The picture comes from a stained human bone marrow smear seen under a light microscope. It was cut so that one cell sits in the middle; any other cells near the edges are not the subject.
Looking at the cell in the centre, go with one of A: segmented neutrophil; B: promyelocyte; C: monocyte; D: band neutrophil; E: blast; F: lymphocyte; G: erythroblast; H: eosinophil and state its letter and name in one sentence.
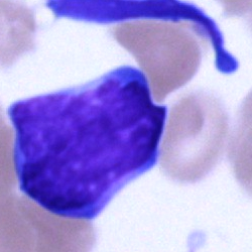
The cell at the centre is a blast, and option E accordingly is correct.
